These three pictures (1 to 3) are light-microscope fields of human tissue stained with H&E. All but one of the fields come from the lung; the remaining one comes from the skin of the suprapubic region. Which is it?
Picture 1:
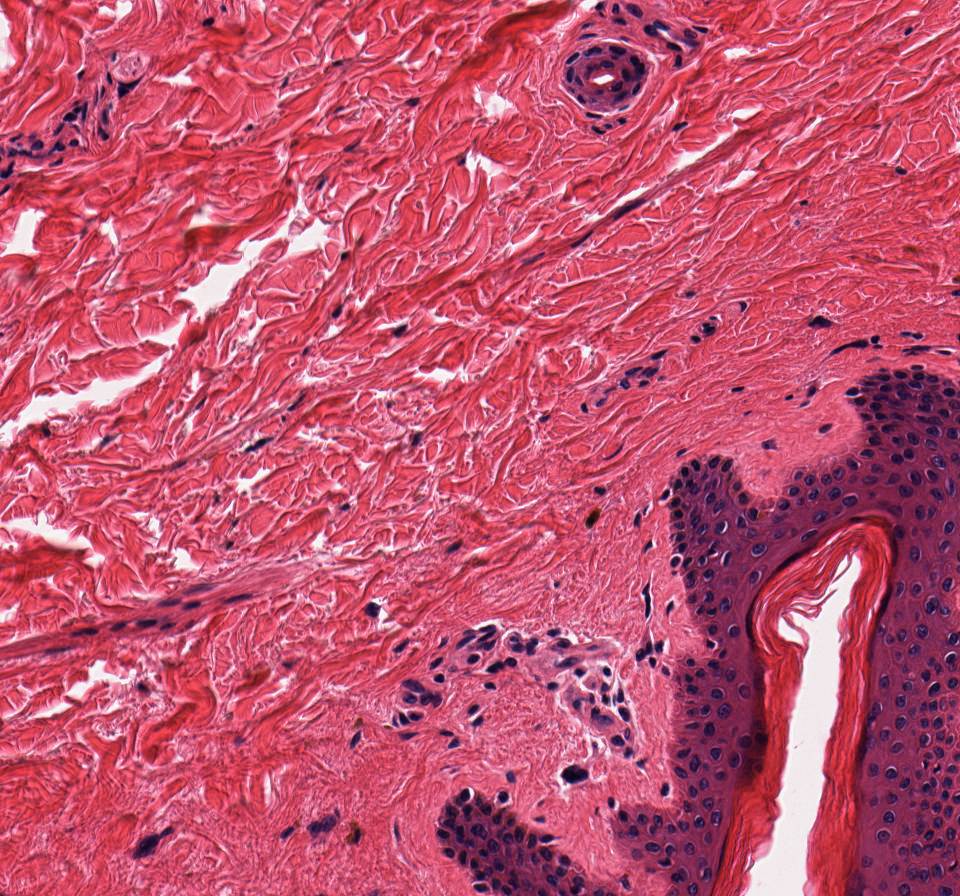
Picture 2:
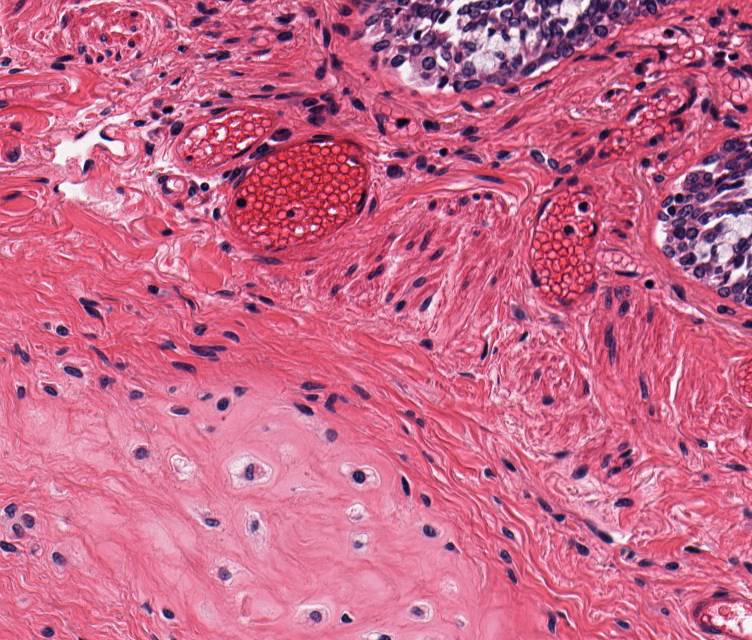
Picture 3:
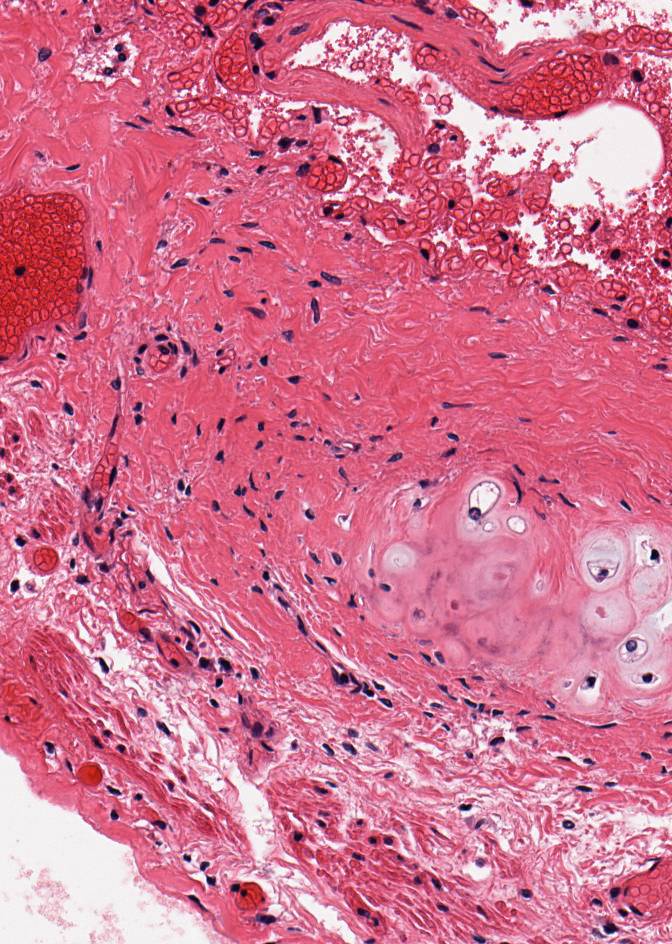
1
